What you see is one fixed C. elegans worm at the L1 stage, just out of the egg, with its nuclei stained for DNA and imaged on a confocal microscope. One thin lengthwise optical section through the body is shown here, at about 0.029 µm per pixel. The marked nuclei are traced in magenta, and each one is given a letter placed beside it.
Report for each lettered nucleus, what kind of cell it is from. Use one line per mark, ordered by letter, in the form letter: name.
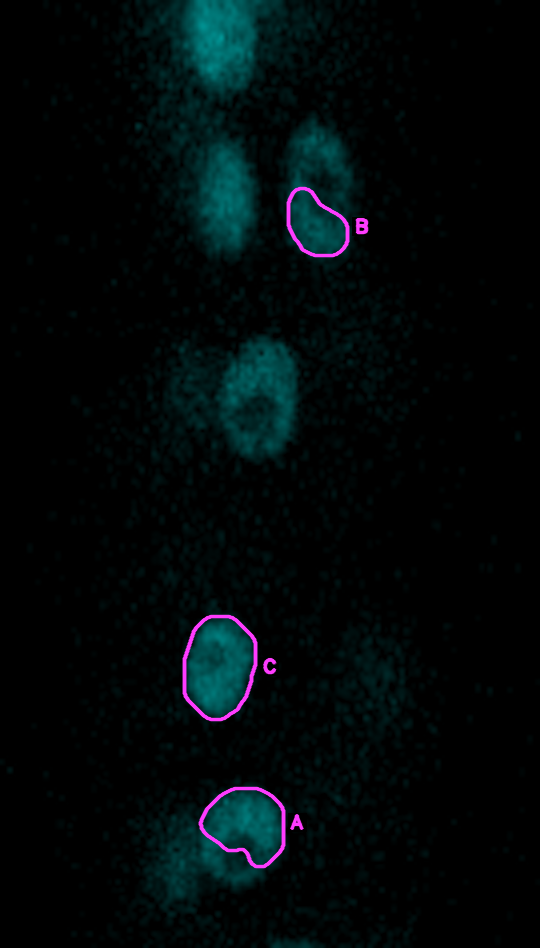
A: seam cell
B: hypodermal cell (hyp)
C: P cell (ventral epidermal blast cell)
